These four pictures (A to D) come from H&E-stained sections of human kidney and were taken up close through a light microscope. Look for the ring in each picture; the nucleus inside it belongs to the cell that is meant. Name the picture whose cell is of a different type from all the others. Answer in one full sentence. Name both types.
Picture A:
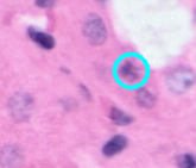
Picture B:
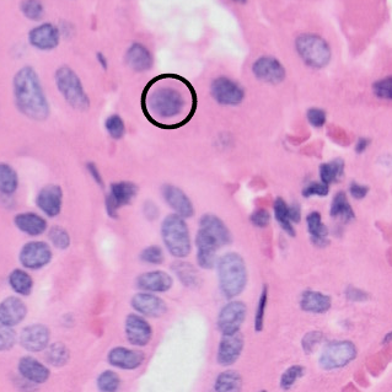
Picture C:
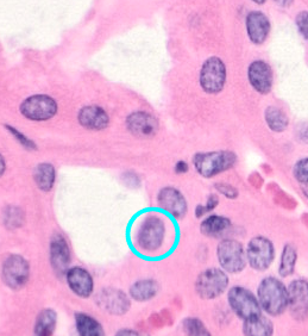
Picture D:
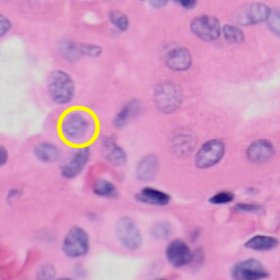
The others show “loop of Henle or distal tubule cells”, but picture C shows a collecting duct cell.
